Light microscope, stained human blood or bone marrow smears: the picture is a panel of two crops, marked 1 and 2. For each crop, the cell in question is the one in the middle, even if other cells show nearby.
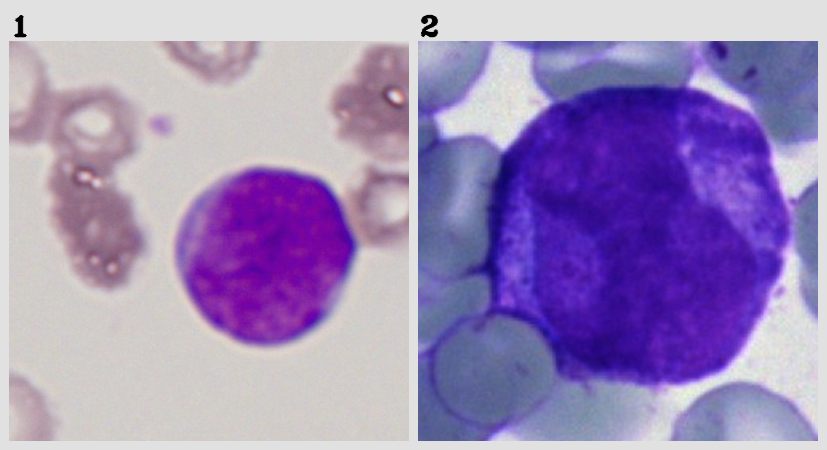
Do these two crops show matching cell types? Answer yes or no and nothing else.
yes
